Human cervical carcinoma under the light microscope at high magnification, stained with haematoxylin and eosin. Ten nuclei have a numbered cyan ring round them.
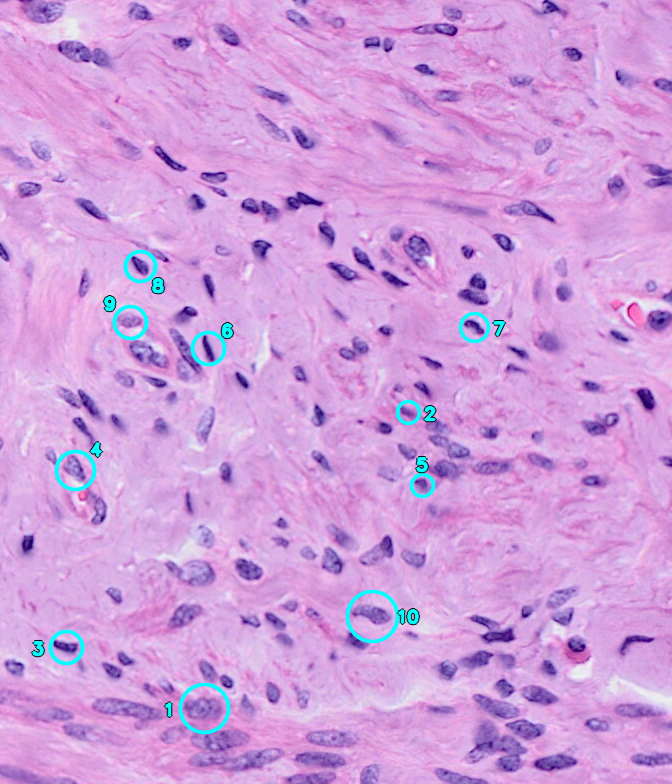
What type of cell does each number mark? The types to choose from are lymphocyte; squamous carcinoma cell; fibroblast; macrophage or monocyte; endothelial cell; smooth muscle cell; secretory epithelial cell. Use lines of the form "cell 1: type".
cell 1: smooth muscle cell
cell 2: smooth muscle cell
cell 3: fibroblast
cell 4: endothelial cell
cell 5: smooth muscle cell
cell 6: fibroblast
cell 7: fibroblast
cell 8: fibroblast
cell 9: endothelial cell
cell 10: fibroblast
